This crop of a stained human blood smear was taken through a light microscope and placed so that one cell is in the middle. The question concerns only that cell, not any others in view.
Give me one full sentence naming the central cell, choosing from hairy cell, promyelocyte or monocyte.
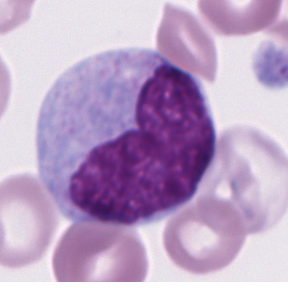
At the center of the crop sits a monocyte.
